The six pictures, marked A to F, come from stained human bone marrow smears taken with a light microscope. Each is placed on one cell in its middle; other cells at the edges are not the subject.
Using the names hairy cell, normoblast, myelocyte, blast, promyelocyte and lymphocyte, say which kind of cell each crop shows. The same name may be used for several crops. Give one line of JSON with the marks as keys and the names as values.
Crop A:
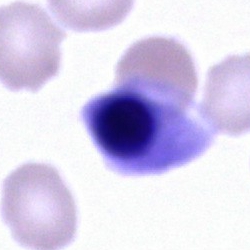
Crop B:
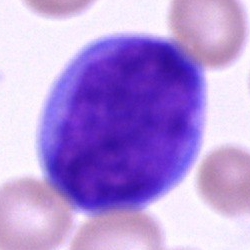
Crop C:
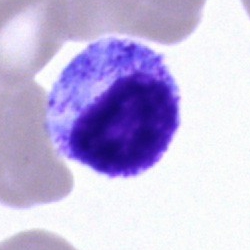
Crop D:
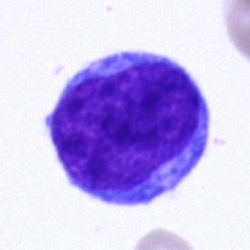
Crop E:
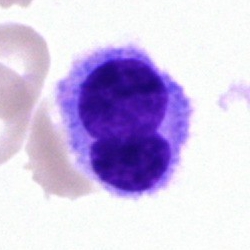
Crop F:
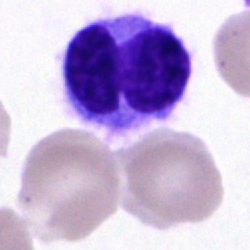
{"A": "normoblast", "B": "blast", "C": "myelocyte", "D": "blast", "E": "hairy cell", "F": "lymphocyte"}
